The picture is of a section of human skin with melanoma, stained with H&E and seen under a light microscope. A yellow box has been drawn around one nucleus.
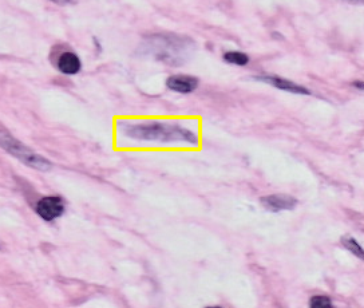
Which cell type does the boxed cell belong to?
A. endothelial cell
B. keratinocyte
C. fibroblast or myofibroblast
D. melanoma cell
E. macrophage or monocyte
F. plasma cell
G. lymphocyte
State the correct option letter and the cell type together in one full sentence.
Best answer: option C, with the boxed cell being a fibroblast or myofibroblast.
